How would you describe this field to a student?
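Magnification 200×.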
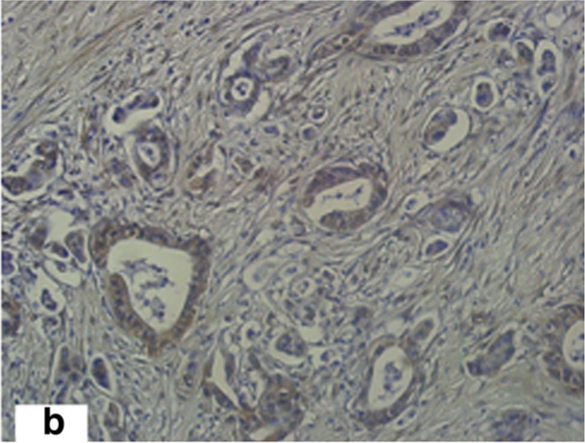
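Adenocarcinoma forming many small, irregular glands scattered through a pale fibrous stroma. The glands vary in size and shape; some are round with open lumens containing loose pale debris, others are compressed or angular. They are lined by crowded columnar to cuboidal cells with enlarged, dark blue nuclei arranged in one or several layers. The cytoplasm of the lining cells shows only a faint, patchy light brown tint. Between the glands lies wavy connective tissue with scattered spindle-shaped and small round cells.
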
